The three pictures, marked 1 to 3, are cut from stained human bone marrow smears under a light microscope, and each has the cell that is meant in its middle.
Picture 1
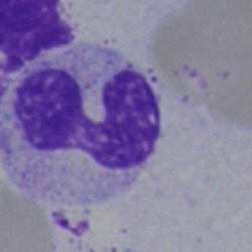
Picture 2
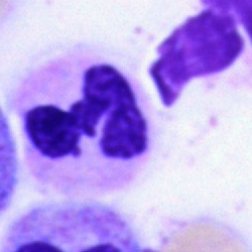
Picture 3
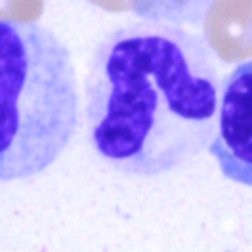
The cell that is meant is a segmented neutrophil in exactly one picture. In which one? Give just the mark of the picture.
2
